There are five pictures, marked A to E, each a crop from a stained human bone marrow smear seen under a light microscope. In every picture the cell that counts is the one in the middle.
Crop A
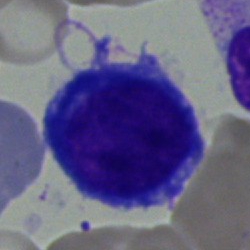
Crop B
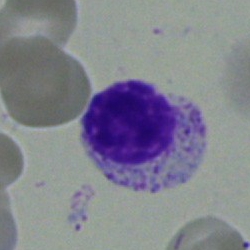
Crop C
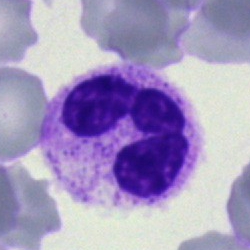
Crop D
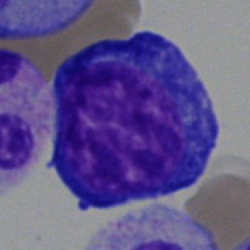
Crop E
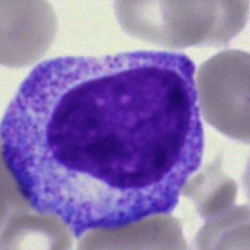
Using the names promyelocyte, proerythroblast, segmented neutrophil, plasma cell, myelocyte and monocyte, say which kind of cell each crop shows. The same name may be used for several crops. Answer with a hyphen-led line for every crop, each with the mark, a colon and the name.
- A: proerythroblast
- B: myelocyte
- C: segmented neutrophil
- D: proerythroblast
- E: myelocyte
